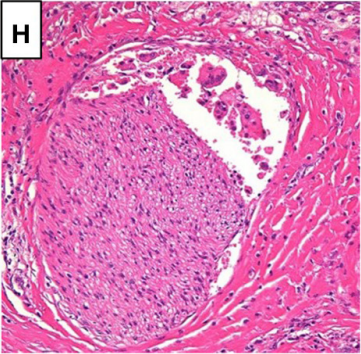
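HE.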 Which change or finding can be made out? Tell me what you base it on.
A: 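A rounded bundle of wavy spindle-shaped fibres lies in the center. Clusters of epithelial tumor cells lie right next to the bundle within its surrounding space. Dense pink fibrous tissue surrounds both. On this evidence: perineural invasions.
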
